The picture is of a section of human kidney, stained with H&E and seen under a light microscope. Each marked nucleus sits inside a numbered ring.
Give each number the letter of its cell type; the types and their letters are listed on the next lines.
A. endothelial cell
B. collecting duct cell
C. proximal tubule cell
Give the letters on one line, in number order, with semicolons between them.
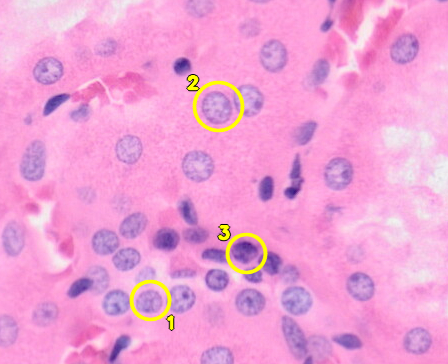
B; C; B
